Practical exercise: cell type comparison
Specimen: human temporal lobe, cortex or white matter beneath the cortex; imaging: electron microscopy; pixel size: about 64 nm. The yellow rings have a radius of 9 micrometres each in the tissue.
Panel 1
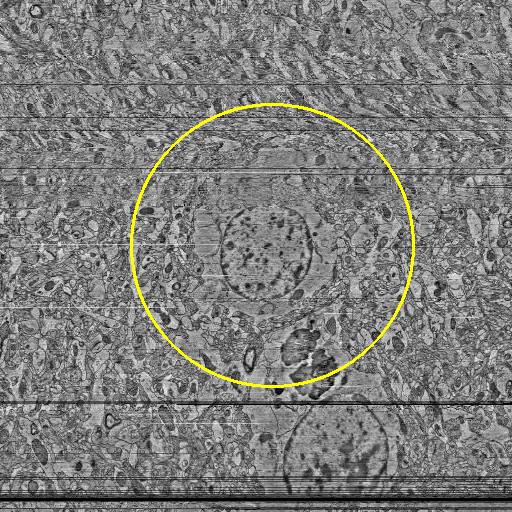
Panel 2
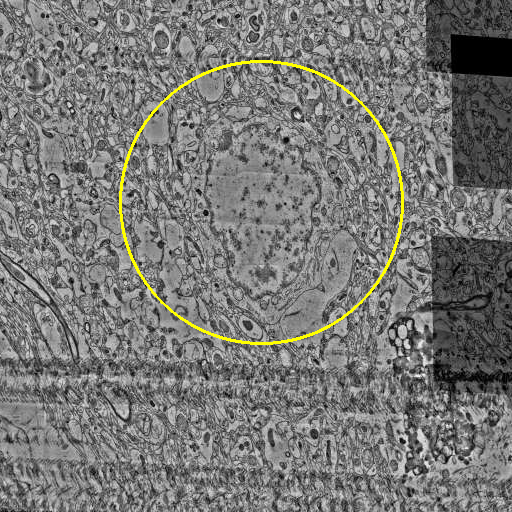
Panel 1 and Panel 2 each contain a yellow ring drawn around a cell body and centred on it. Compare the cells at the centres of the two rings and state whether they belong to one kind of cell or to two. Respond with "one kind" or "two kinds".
two kinds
